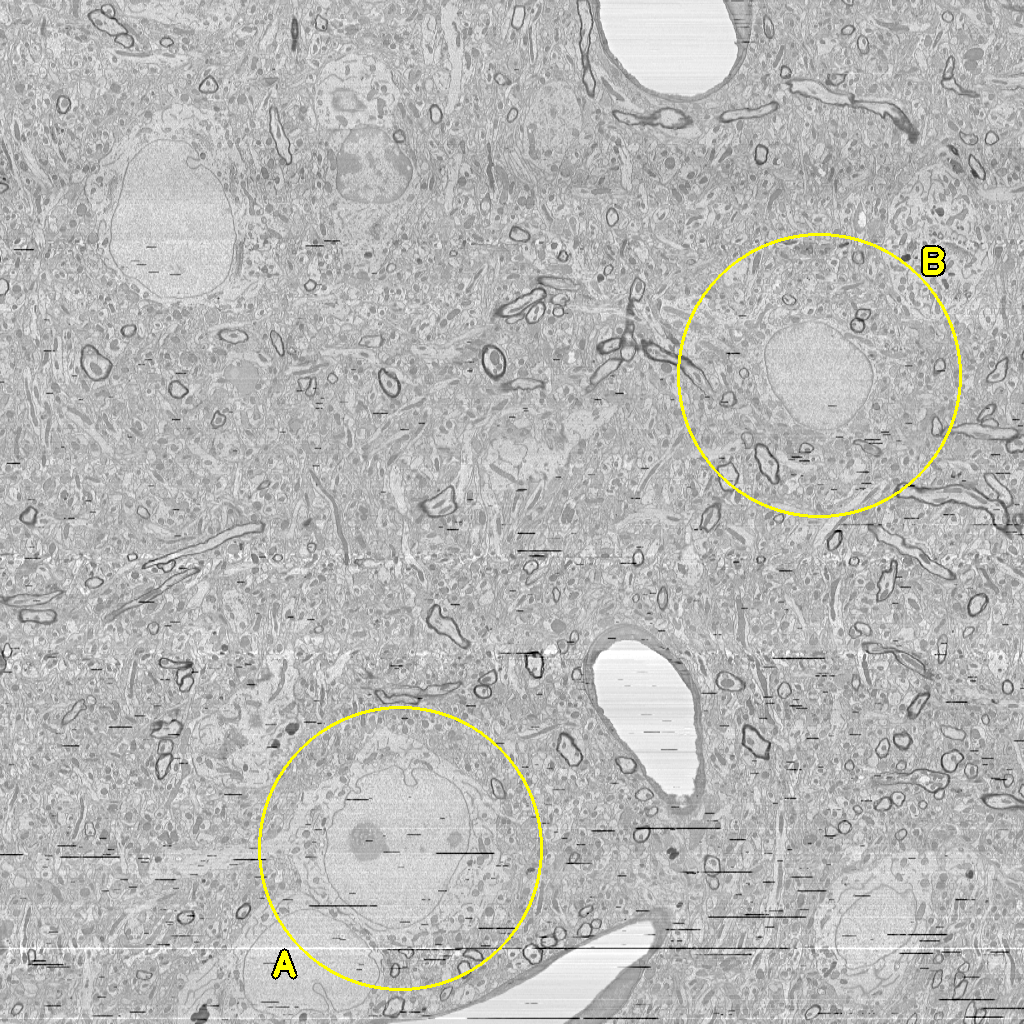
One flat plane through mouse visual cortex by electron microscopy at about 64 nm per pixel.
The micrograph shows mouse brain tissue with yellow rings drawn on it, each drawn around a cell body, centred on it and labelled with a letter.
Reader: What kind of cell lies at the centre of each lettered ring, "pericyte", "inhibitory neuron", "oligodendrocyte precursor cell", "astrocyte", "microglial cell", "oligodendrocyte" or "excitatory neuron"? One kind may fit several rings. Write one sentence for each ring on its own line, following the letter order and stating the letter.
At the centre of ring A lies an excitatory neuron.
At the centre of ring B lies an astrocyte.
